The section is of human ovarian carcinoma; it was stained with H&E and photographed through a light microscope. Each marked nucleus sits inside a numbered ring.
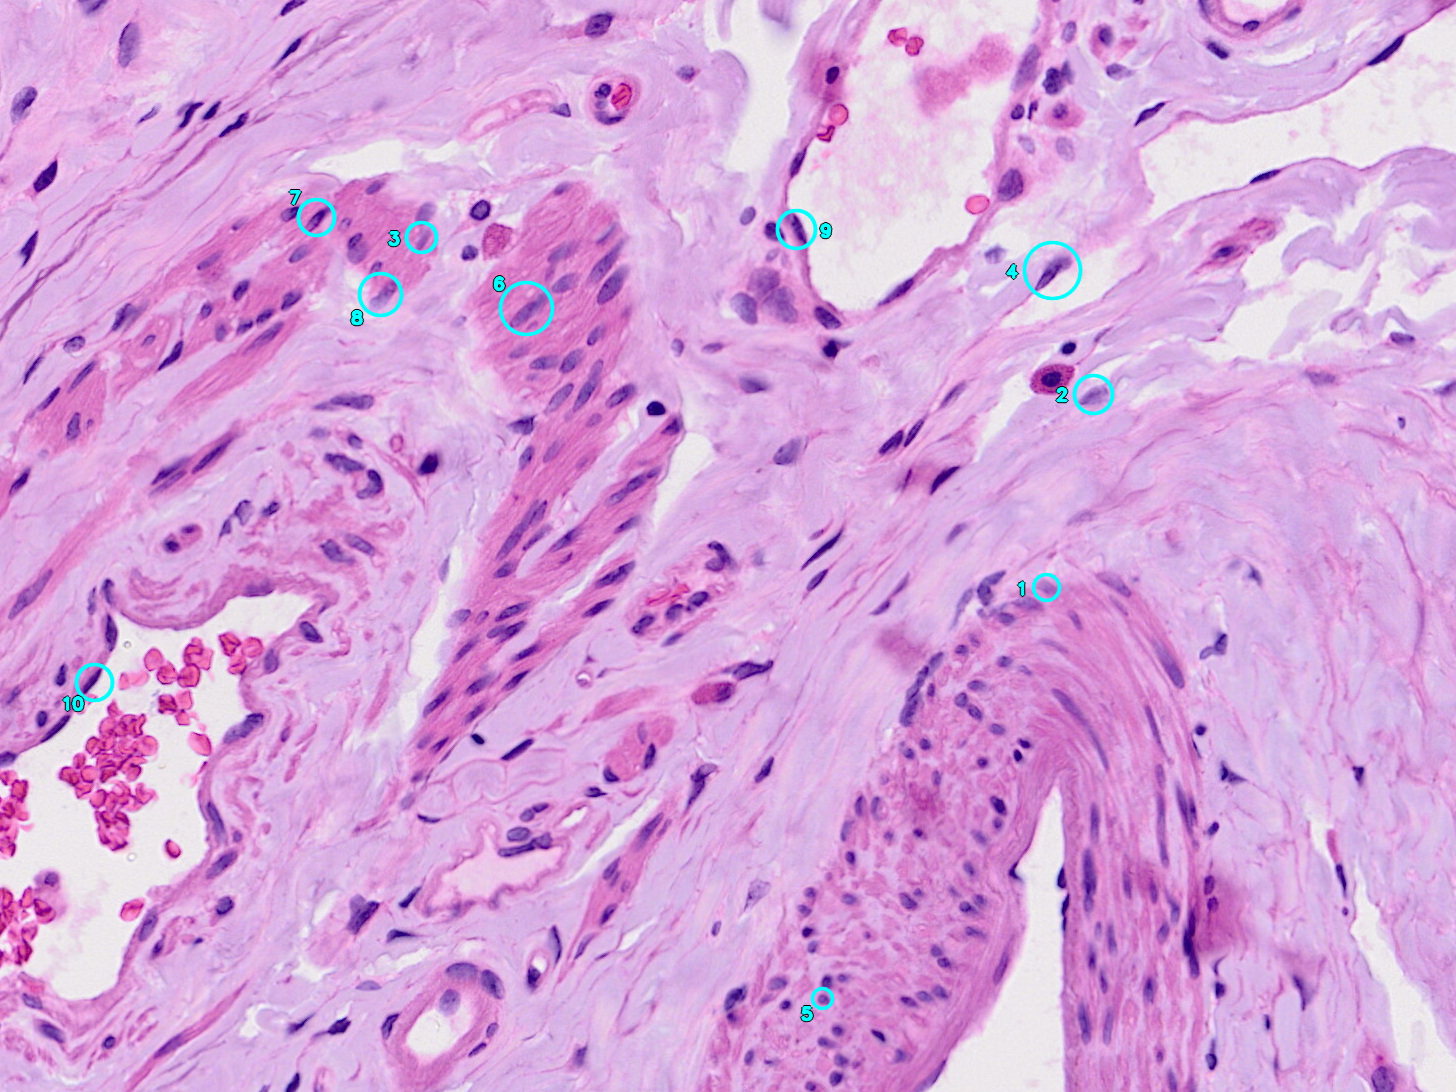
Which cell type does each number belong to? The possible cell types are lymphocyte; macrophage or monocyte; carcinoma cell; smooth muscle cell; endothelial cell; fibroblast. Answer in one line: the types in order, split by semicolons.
smooth muscle cell; fibroblast; smooth muscle cell; endothelial cell; smooth muscle cell; smooth muscle cell; smooth muscle cell; smooth muscle cell; endothelial cell; endothelial cell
